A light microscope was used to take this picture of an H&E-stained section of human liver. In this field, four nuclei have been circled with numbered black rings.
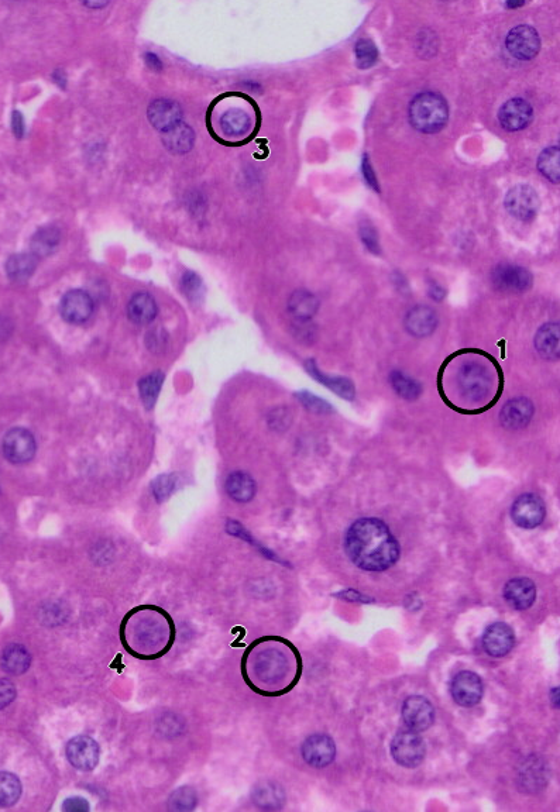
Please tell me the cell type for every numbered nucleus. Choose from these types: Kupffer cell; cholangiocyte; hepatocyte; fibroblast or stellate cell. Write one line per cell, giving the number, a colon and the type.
1: hepatocyte
2: hepatocyte
3: cholangiocyte
4: hepatocyte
